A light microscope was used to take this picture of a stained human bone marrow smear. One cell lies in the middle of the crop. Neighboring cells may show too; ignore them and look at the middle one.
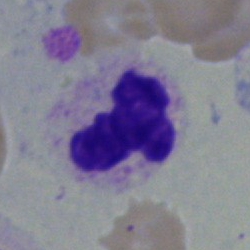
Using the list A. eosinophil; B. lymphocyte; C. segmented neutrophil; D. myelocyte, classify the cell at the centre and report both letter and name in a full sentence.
The central cell, a segmented neutrophil, is correctly identified by option C.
